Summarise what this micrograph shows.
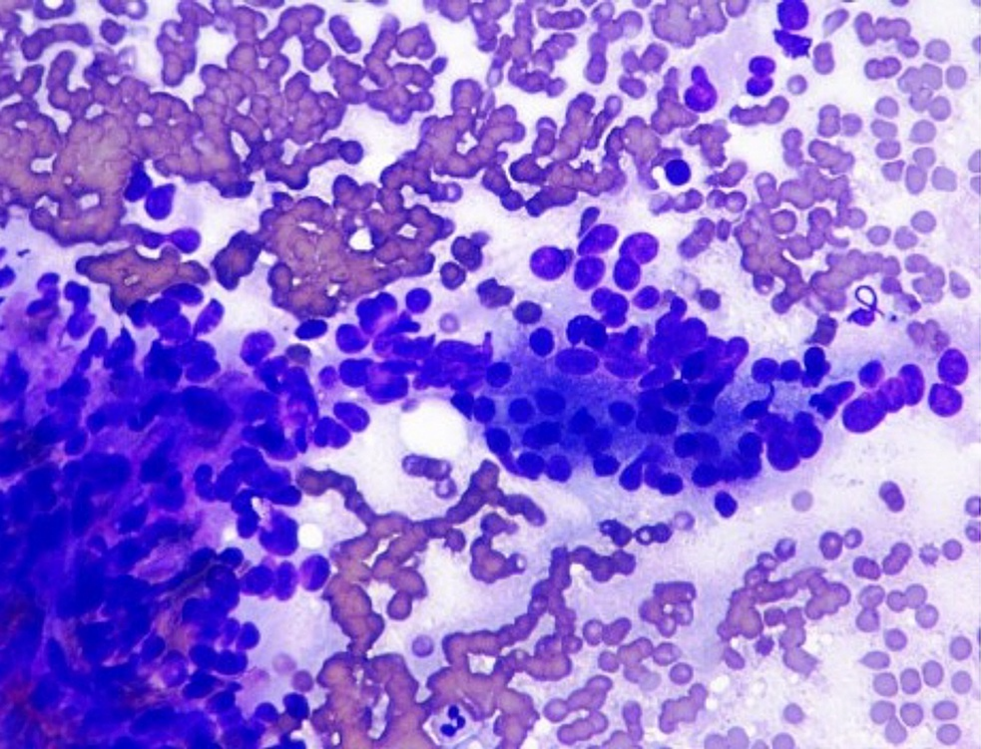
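This smear shows crowded groups of small to medium-sized cells on a background of many red blood cells. A dense, dark, crowded aggregate fills the lower left. A looser cluster lies across the centre, and cells there sit in a smudgy, pale violet-blue amorphous matrix. The cells have round to oval, darkly stained purple nuclei of fairly uniform size. Nucleoli are not prominent. The cytoplasm is scant to moderate and ill-defined. Some cells lie singly at the edges of the groups. The surrounding red cells are pale pinkish-violet. Many of them are stacked in chains and clumps.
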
